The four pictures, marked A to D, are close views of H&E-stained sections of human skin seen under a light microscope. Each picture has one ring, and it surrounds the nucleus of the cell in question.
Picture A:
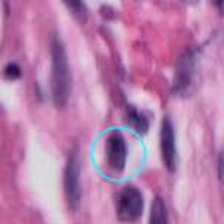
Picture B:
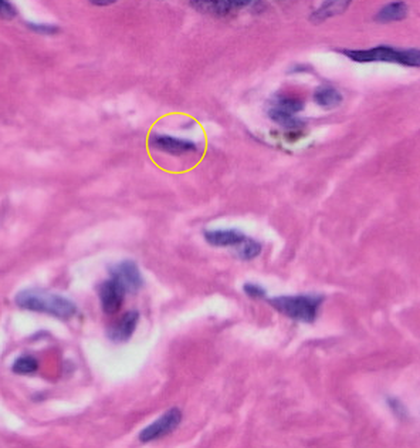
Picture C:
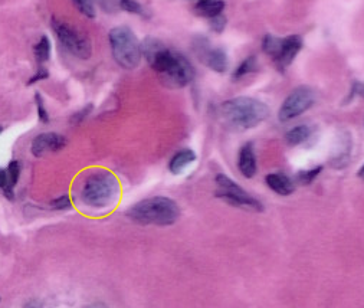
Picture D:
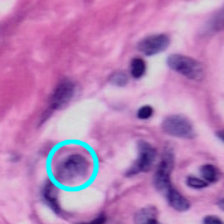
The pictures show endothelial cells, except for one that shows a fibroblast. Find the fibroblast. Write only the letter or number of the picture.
B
